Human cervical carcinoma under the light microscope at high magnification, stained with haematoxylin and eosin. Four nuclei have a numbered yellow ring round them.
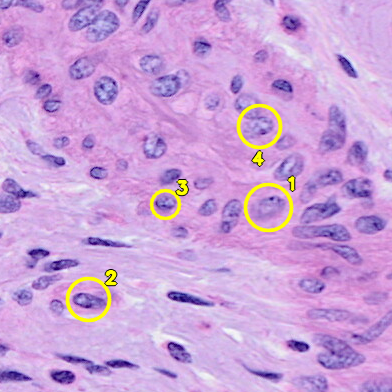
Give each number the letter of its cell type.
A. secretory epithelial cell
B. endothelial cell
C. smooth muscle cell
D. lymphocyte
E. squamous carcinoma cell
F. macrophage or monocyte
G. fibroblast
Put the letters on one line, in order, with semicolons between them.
C; B; C; C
